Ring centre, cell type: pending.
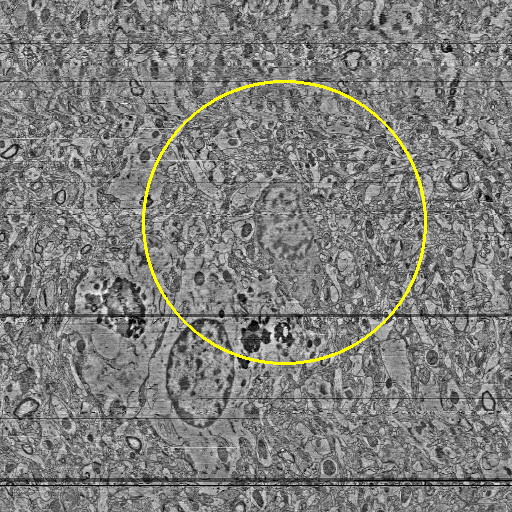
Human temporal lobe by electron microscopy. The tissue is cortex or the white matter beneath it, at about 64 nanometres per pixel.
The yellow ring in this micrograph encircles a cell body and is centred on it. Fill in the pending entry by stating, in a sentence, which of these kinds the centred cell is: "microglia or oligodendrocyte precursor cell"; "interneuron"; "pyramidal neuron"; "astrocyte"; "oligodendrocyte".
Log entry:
The centred cell is recorded as an oligodendrocyte.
